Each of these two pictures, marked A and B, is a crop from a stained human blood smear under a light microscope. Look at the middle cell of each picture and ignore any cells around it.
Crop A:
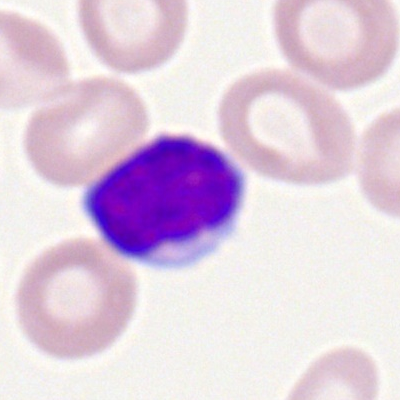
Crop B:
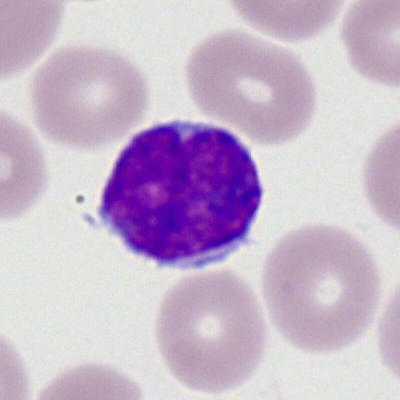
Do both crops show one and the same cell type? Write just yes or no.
yes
